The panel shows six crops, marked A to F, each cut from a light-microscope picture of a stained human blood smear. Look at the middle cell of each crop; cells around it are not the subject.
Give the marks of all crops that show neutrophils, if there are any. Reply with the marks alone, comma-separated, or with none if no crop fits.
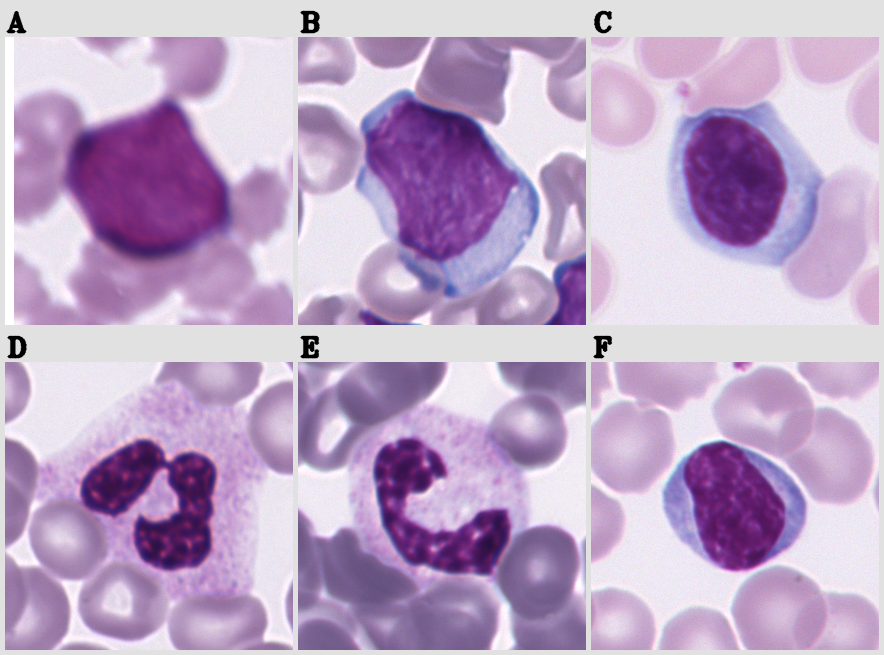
D, E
